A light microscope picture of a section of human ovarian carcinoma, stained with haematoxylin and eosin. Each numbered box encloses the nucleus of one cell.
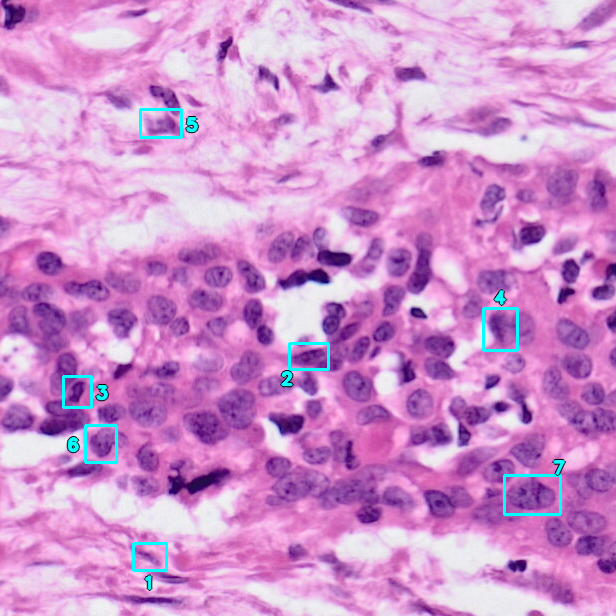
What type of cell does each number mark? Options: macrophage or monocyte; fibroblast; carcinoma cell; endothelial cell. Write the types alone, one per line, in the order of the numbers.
fibroblast
carcinoma cell
carcinoma cell
carcinoma cell
fibroblast
macrophage or monocyte
carcinoma cell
